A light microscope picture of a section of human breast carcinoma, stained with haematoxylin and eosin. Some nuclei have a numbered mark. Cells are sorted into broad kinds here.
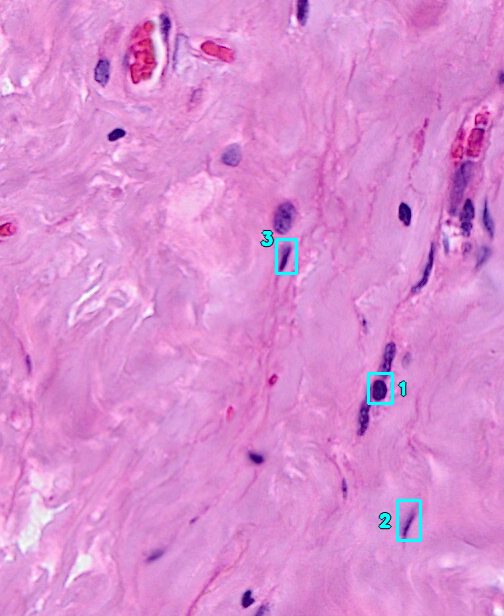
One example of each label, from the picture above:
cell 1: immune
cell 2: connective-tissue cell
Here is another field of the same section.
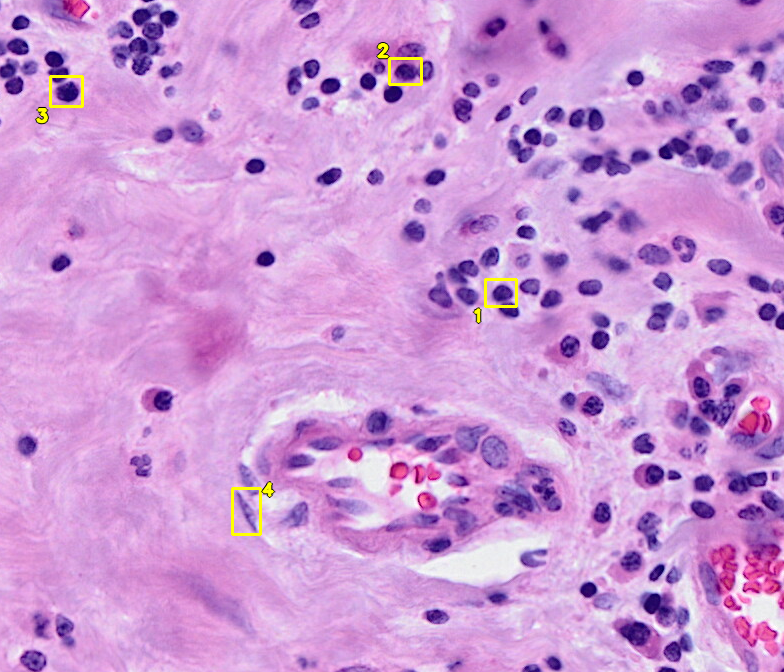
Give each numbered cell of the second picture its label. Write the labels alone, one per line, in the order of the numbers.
immune
immune
immune
connective-tissue cell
